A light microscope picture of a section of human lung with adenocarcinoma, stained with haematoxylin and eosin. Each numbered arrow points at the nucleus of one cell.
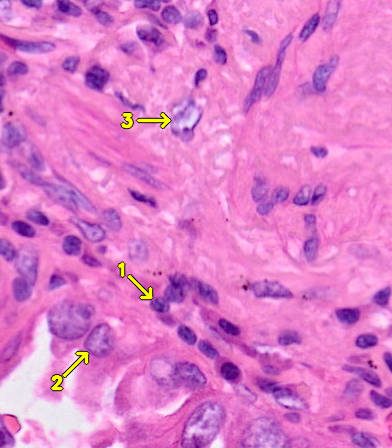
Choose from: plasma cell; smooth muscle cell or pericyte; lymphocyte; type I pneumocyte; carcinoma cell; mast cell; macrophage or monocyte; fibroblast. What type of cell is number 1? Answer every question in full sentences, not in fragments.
The one labeled 1 is a lymphocyte, to put it simply.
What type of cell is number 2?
Corresponding to a carcinoma cell is the cell labelled 2.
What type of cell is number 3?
The cell that goes by number 3 is a fibroblast.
